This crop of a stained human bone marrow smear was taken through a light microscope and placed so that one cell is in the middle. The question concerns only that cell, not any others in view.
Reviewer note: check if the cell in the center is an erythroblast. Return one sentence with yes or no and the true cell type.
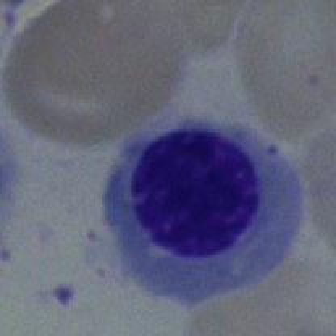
Yes, centred in the crop is an erythroblast.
